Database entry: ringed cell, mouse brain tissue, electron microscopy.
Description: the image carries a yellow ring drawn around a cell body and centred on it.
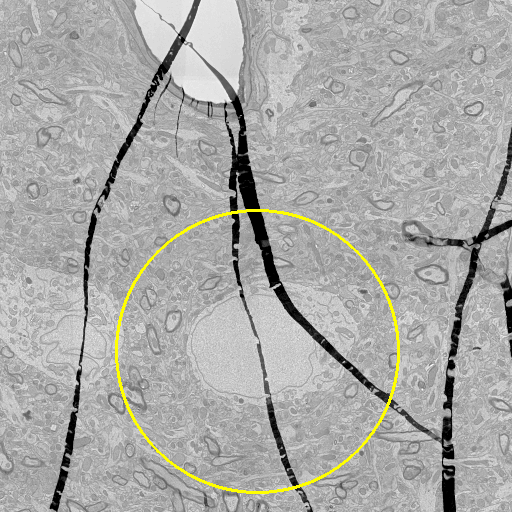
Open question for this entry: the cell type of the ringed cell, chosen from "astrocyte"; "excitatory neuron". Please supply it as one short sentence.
The ringed cell is an excitatory neuron.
